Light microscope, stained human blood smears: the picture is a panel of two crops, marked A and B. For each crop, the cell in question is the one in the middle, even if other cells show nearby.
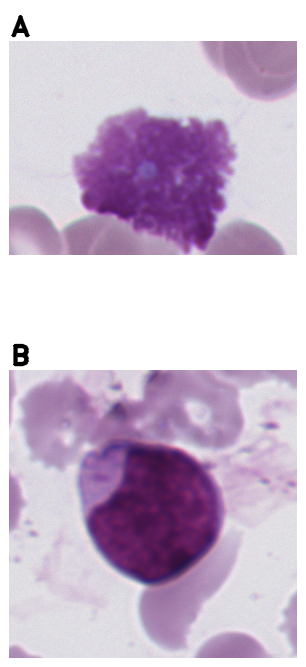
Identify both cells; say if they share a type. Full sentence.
No, a myeloblast is depicted in crop B, whereas a smudge cell is depicted in crop A.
